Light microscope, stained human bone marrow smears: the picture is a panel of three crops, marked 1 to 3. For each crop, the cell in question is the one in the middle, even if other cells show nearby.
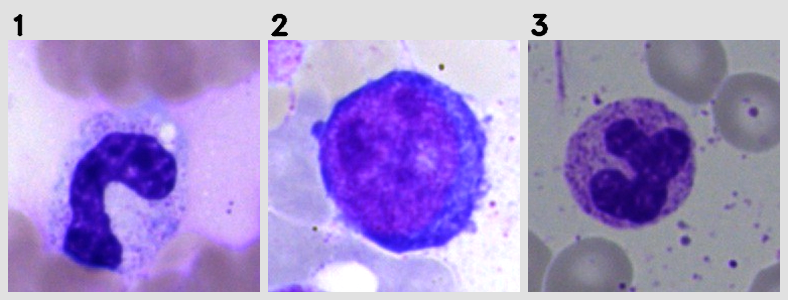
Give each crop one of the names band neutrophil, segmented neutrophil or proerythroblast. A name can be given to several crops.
1: band neutrophil
2: proerythroblast
3: segmented neutrophil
